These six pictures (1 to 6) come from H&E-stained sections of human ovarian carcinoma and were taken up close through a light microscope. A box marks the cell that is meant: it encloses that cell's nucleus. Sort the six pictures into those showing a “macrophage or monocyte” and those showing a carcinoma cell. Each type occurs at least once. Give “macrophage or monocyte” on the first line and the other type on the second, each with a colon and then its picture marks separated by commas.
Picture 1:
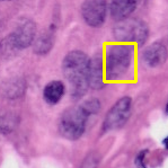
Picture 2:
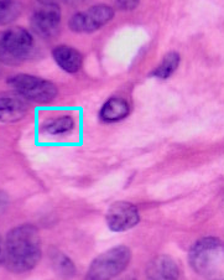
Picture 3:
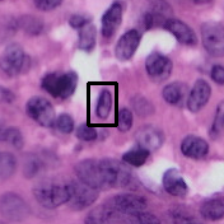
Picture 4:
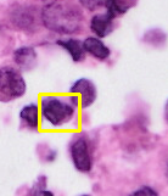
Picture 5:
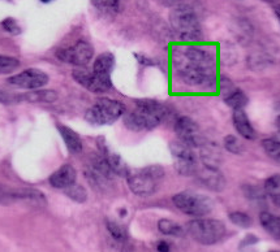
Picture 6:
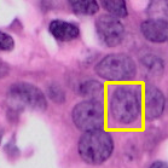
macrophage or monocyte: 2, 3
carcinoma cell: 1, 4, 5, 6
